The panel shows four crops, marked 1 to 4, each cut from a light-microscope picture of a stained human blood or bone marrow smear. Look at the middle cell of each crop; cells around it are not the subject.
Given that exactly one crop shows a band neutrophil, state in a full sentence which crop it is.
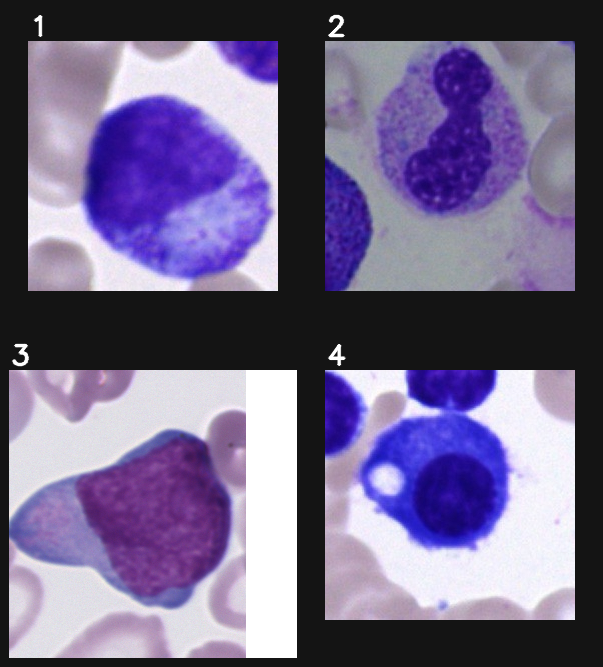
Crop 2, and no other, shows a band neutrophil.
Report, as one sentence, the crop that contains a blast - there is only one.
The one showing a blast is the crop labelled 3.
